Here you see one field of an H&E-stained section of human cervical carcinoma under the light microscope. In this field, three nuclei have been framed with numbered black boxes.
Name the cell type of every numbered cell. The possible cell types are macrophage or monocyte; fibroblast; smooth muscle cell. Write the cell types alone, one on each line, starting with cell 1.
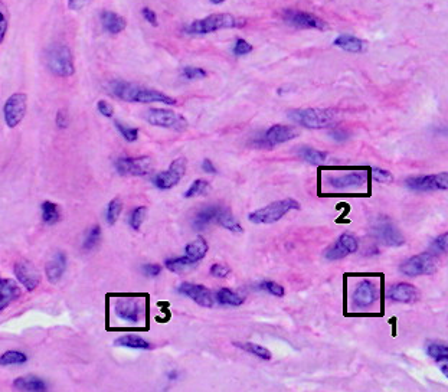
smooth muscle cell
smooth muscle cell
fibroblast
